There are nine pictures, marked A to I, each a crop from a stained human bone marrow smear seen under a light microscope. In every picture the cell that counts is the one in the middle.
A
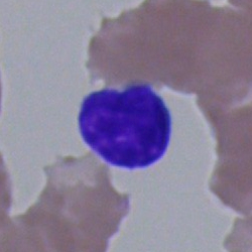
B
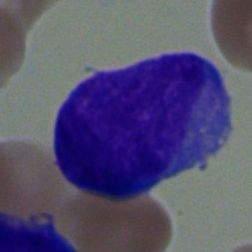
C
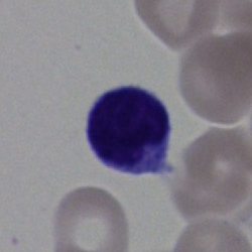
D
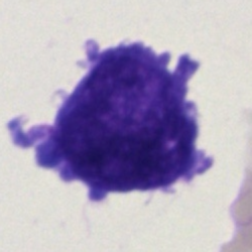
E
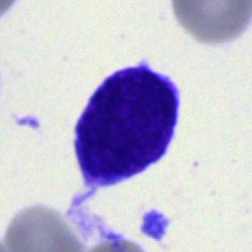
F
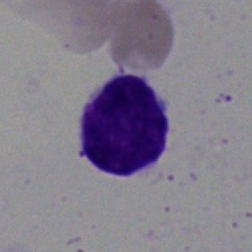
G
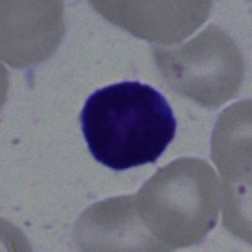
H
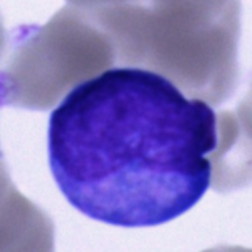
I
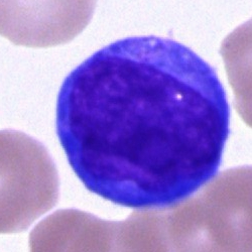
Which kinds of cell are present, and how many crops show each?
blast: 5
lymphocyte: 4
